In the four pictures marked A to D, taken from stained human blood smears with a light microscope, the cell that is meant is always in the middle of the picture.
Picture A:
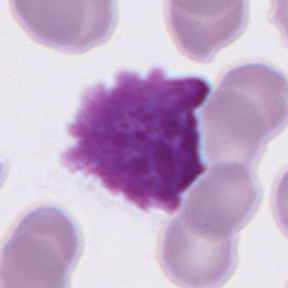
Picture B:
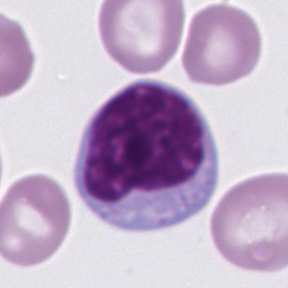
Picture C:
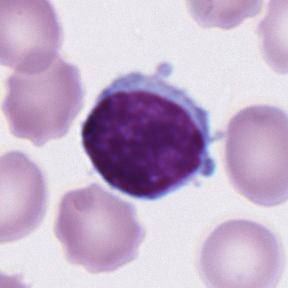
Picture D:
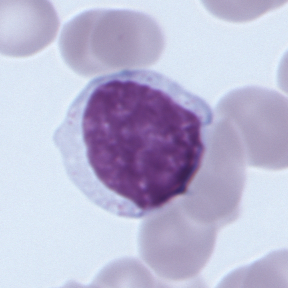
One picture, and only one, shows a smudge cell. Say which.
A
